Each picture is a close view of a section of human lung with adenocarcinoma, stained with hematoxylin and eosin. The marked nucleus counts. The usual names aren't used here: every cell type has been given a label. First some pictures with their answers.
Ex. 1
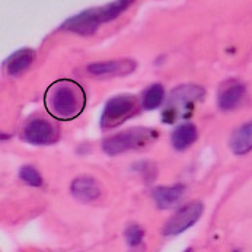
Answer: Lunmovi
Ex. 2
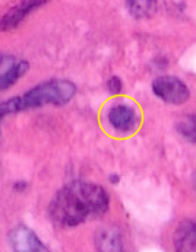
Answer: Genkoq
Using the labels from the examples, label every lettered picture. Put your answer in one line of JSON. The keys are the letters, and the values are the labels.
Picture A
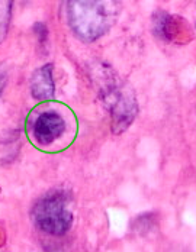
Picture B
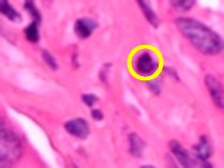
{"A": "Genkoq", "B": "Lunmovi"}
